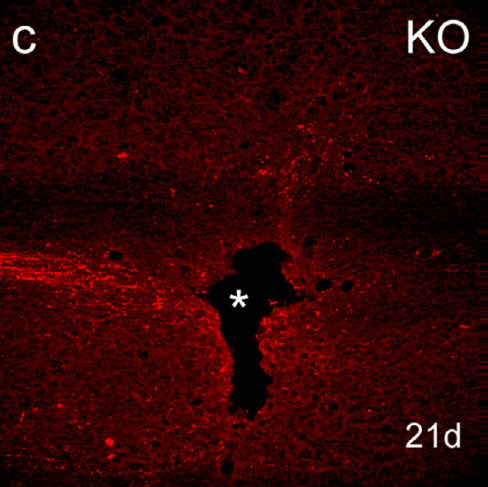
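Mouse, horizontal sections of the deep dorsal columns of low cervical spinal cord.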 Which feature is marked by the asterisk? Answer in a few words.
Lesion cavity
